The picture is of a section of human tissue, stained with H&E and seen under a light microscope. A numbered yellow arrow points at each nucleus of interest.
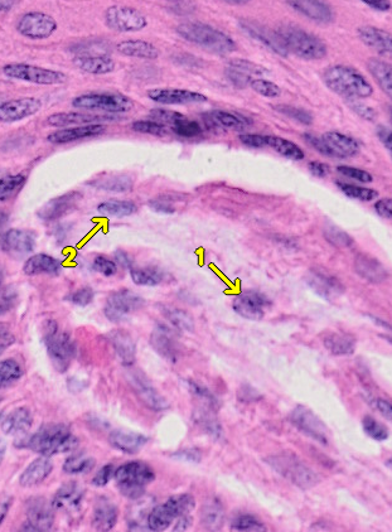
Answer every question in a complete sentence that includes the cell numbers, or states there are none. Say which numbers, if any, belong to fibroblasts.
Cell 2 is the only one of the numbered cells that is a fibroblast.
